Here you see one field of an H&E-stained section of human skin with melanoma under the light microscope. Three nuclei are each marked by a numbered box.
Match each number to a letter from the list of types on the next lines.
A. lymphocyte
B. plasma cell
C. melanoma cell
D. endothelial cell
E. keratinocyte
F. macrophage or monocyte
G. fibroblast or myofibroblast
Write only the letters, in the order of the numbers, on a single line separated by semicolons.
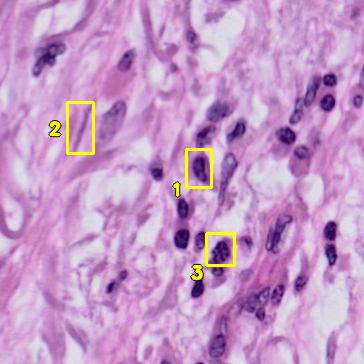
B; G; B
